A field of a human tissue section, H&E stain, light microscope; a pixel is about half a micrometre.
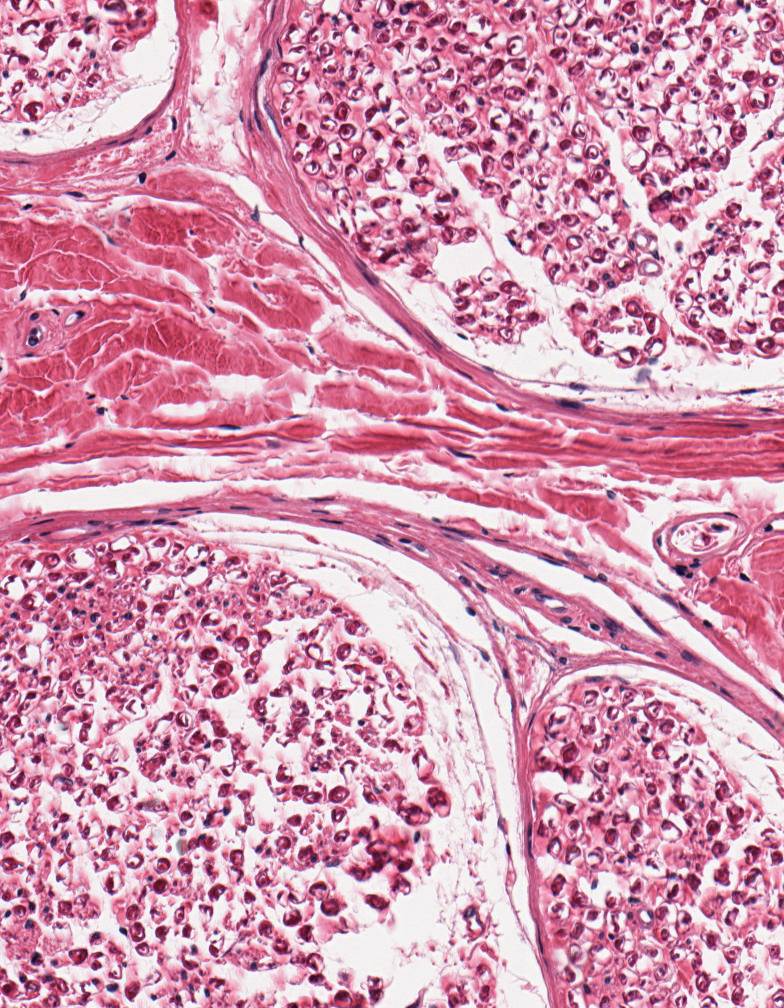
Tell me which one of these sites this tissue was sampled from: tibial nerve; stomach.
tibial nerve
